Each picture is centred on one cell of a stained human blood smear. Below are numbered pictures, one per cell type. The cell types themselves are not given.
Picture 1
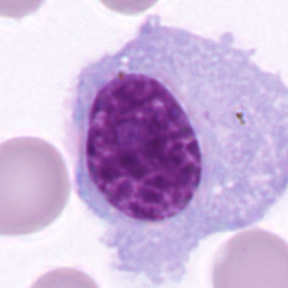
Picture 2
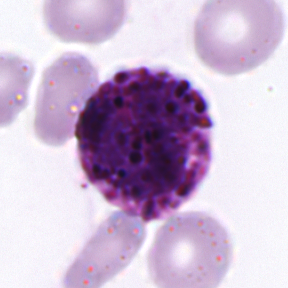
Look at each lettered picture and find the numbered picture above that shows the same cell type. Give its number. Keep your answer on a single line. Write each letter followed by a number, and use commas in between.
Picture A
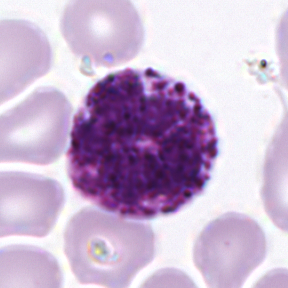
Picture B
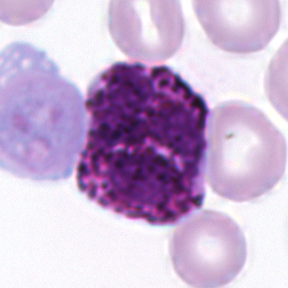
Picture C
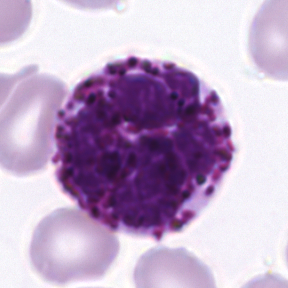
A 2, B 2, C 2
